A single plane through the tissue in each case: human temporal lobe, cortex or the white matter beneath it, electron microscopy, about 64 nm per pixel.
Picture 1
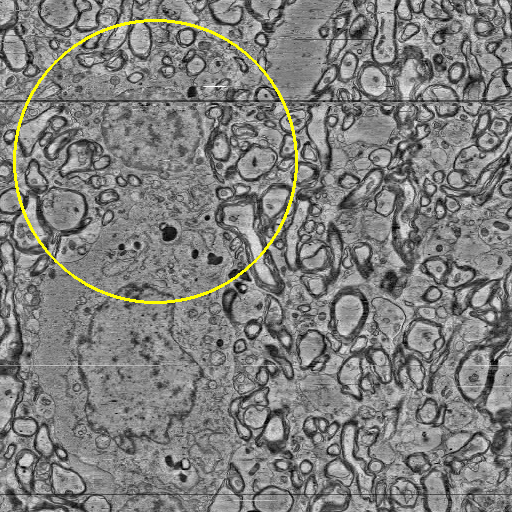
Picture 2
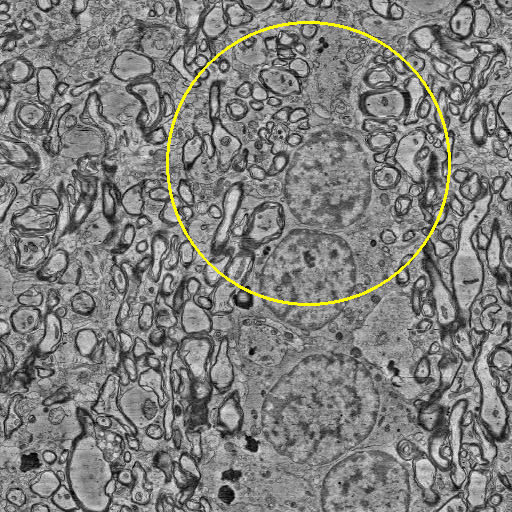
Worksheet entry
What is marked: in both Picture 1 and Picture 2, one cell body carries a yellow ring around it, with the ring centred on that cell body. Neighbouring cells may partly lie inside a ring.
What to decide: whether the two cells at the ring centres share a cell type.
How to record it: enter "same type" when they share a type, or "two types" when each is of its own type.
same type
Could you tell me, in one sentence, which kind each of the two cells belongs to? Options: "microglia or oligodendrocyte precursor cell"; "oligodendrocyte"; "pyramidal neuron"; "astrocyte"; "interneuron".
In each picture the ringed cell is an oligodendrocyte.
